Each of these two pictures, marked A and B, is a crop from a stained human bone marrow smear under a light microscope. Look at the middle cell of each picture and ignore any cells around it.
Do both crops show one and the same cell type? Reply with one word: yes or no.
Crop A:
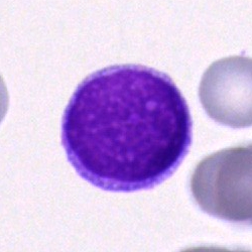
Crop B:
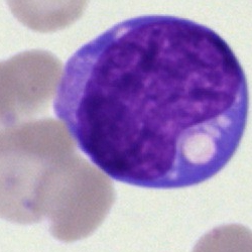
yes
